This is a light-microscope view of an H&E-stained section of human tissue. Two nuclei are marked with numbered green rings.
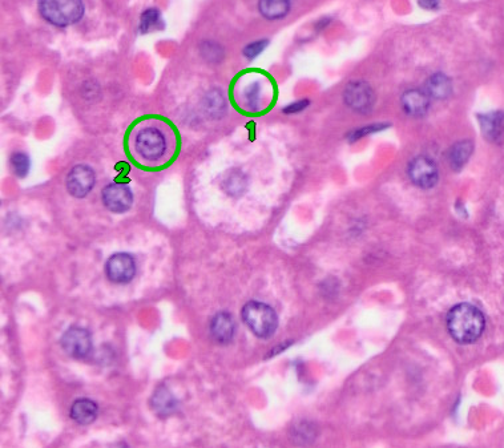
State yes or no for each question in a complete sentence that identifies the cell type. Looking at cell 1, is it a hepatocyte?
No, number 1 corresponds to an endothelial cell, not a hepatocyte.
